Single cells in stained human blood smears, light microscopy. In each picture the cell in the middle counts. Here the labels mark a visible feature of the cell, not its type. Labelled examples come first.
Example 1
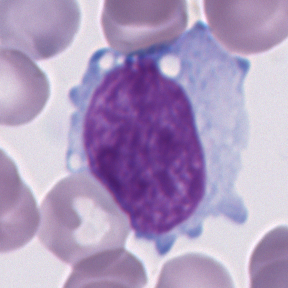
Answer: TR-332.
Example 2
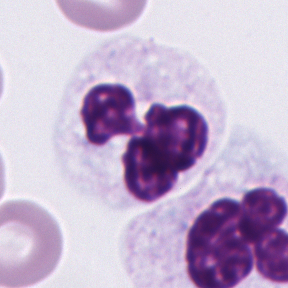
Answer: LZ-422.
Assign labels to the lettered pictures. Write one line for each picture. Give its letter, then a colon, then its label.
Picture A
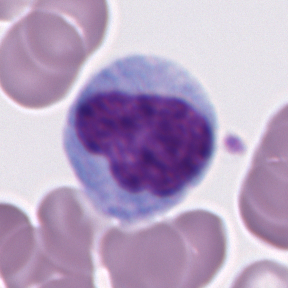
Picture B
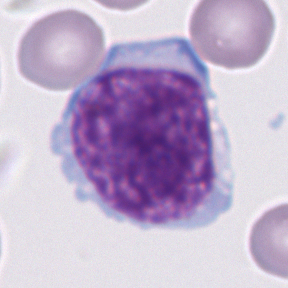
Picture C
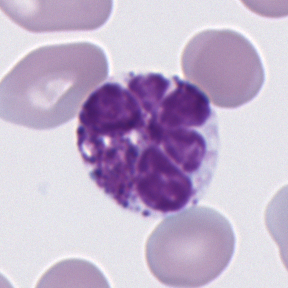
A: LZ-422.
B: TR-332.
C: LZ-422.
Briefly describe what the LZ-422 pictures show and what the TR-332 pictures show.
In LZ-422: smooth outline. In TR-332: ragged outline or projections.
